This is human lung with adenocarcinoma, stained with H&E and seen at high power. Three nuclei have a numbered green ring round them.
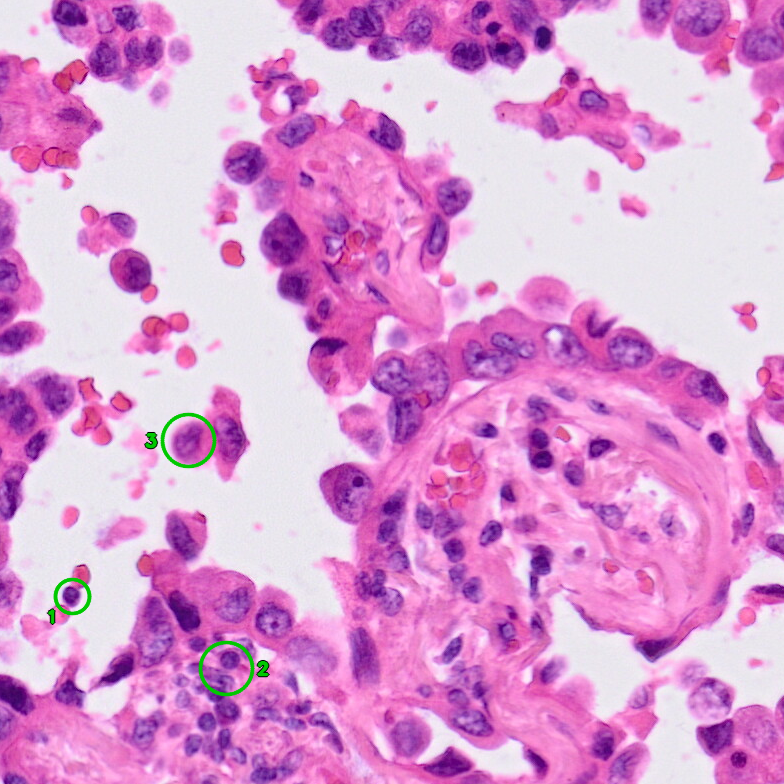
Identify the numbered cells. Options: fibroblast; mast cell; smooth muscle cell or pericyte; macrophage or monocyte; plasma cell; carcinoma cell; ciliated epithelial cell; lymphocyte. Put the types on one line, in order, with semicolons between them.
lymphocyte; lymphocyte; carcinoma cell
